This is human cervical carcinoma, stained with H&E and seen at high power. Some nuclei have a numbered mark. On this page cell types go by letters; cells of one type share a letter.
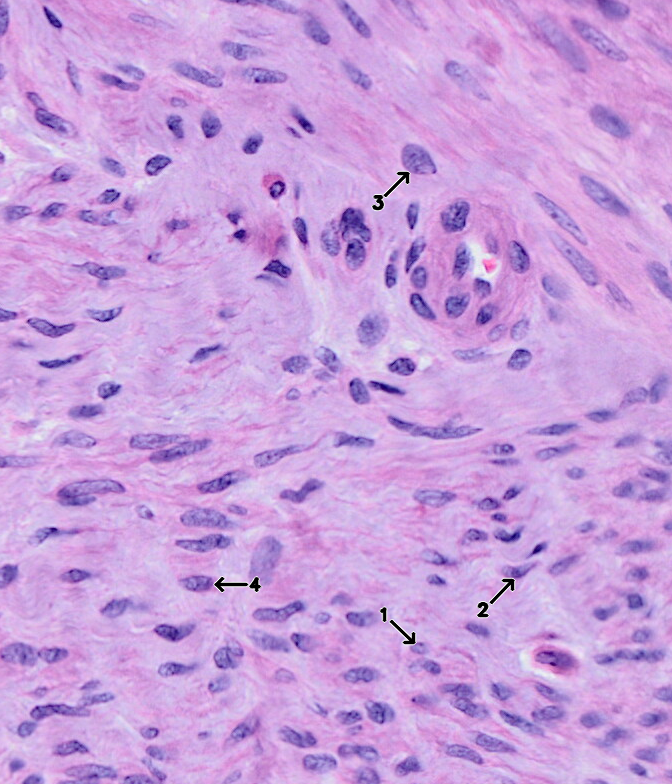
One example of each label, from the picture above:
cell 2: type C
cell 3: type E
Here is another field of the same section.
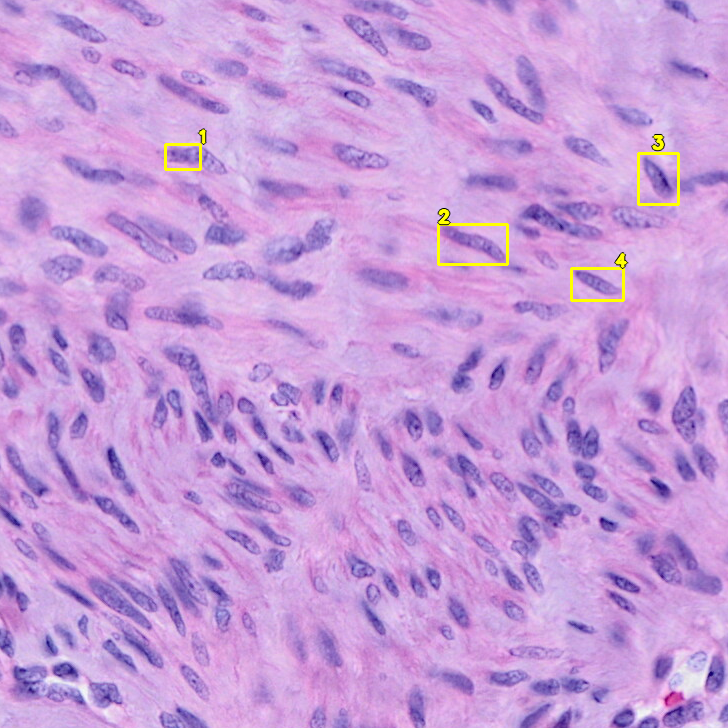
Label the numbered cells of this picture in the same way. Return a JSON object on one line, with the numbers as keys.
{"1": "type C", "2": "type C", "3": "type E", "4": "type C"}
